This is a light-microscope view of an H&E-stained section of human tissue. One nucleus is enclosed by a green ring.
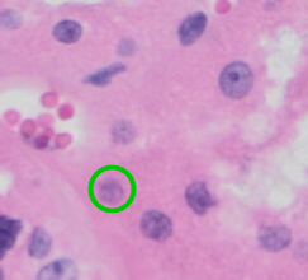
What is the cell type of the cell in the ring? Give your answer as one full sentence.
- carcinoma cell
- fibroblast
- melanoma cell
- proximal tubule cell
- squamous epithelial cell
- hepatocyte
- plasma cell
In this tissue section, the cell in the ring is to be classed as a proximal tubule cell.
